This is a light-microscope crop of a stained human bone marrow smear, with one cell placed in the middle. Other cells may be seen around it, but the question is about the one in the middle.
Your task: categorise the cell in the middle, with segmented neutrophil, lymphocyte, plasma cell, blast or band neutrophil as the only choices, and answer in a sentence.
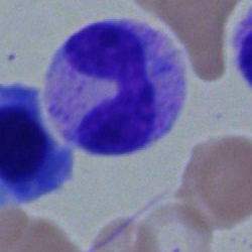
The cell around which this crop is centred is a band neutrophil.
